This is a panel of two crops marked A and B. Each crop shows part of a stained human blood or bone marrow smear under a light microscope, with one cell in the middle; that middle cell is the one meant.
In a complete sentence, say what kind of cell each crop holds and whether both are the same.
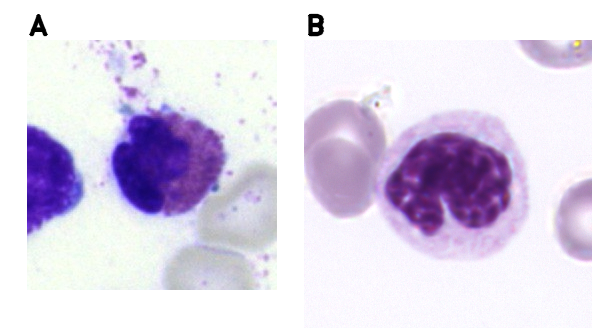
No, it is an eosinophil in crop A and a band neutrophil in crop B.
